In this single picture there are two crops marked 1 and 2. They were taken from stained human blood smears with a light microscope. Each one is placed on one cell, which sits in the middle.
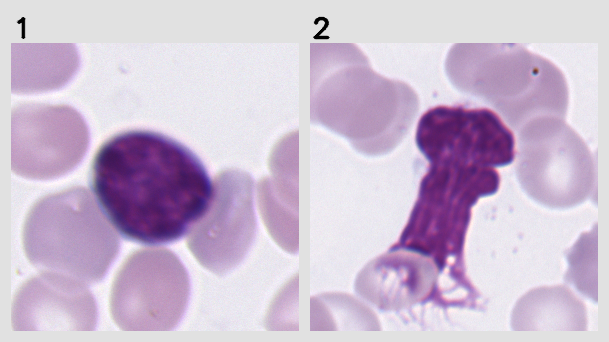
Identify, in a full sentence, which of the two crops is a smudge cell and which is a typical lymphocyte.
Within crop 1 sits a typical lymphocyte, and within crop 2 sits a smudge cell.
